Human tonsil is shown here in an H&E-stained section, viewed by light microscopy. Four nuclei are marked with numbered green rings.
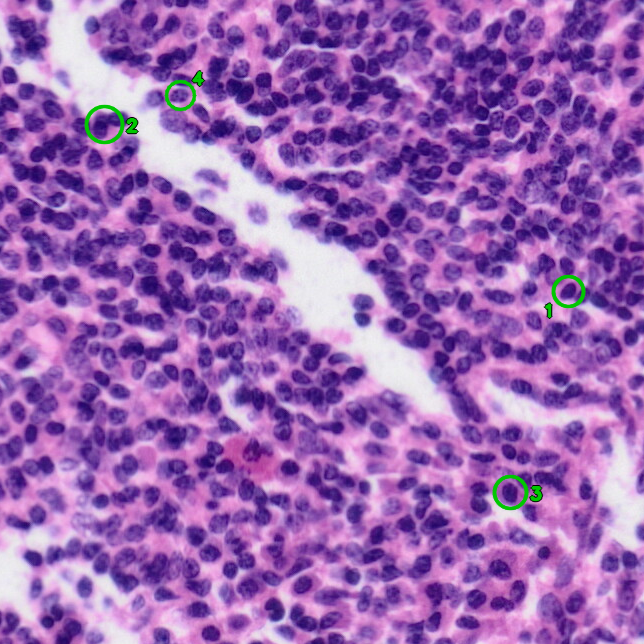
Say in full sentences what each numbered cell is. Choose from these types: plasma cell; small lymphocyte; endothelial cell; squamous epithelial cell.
Cells 1, 2 and 4 are small lymphocytes. Cell 3 is a plasma cell.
